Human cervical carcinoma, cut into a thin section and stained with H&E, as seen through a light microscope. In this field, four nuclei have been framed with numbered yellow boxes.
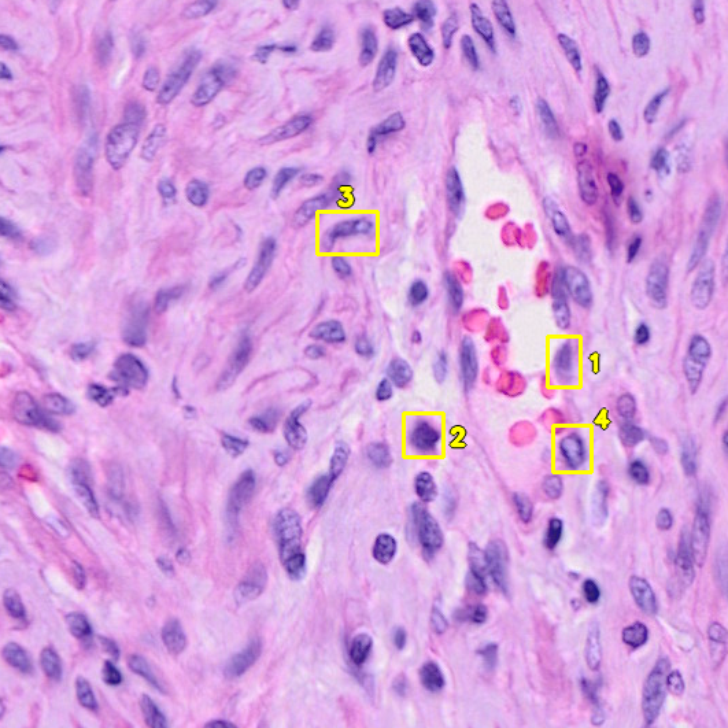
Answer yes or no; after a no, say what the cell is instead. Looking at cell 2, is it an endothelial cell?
No, it is a lymphocyte.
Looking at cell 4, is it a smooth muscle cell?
No, it is an endothelial cell.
